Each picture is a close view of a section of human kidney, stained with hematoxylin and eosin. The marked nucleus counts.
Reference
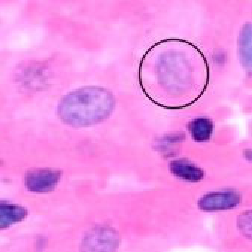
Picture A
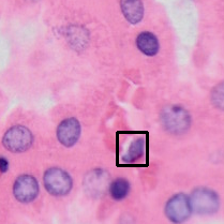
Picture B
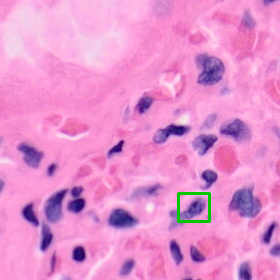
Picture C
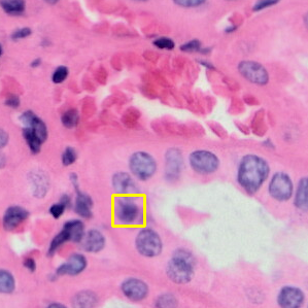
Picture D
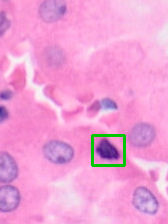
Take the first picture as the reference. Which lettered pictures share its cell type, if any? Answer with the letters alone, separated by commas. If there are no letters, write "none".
D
